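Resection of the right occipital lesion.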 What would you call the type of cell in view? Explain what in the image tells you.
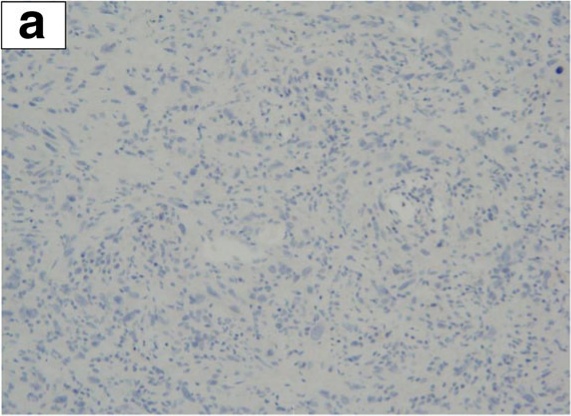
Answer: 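The cells have elongated, spindle-shaped nuclei. The cells lie densely in a disorderly, sheet-like spread. Nuclei vary in size and shape.
Hence: atypical fusiform cells.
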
